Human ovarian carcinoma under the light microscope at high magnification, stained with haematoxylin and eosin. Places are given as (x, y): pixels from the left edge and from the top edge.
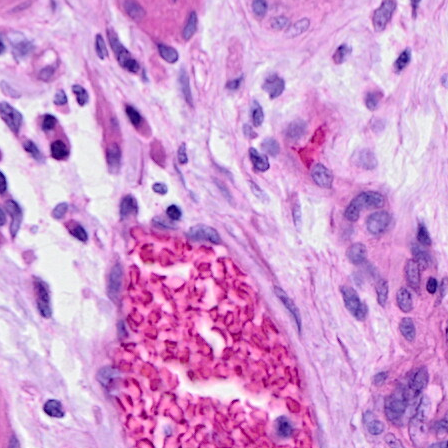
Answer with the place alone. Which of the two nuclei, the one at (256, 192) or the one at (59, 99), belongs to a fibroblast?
(256, 192)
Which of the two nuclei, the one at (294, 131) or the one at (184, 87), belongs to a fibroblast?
(184, 87)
